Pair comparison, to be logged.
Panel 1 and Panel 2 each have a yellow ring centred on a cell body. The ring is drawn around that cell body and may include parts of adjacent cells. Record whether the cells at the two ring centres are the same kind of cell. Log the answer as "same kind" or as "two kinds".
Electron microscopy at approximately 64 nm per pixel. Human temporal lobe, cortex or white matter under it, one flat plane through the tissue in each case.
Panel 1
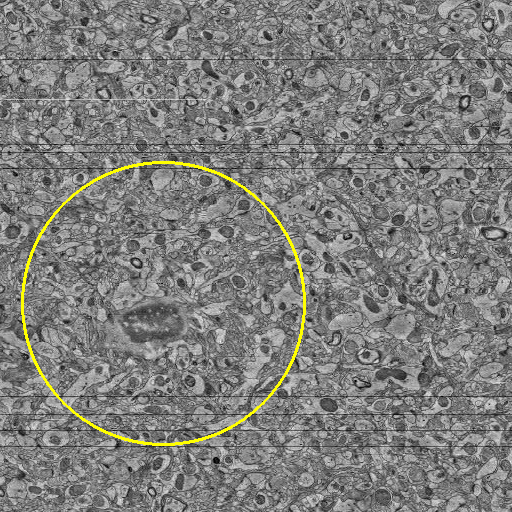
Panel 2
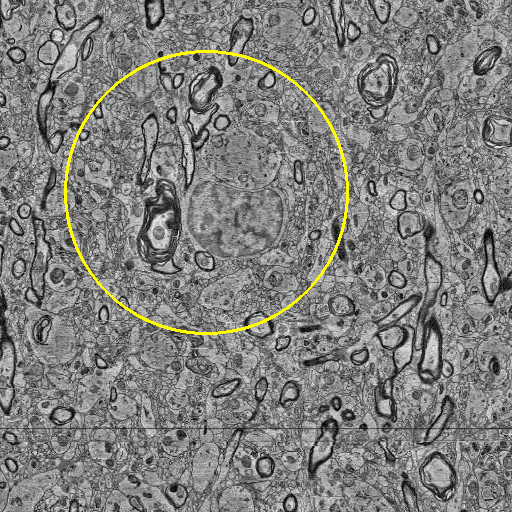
same kind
